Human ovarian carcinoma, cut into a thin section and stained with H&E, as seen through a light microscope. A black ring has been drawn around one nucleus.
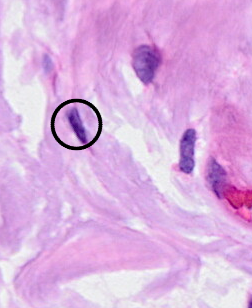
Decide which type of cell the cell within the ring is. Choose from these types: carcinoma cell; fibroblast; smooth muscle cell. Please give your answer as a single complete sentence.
In this section, the cell within the ring is a fibroblast.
